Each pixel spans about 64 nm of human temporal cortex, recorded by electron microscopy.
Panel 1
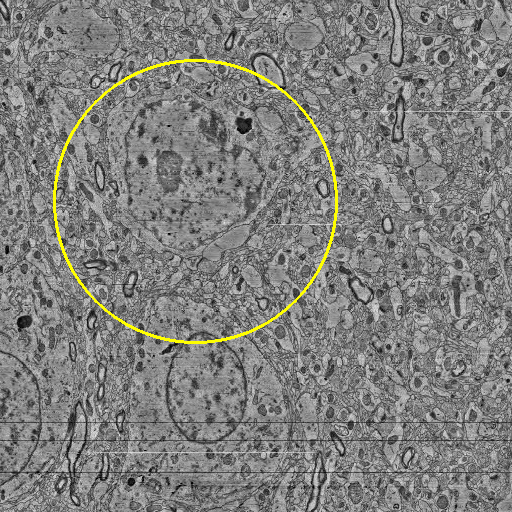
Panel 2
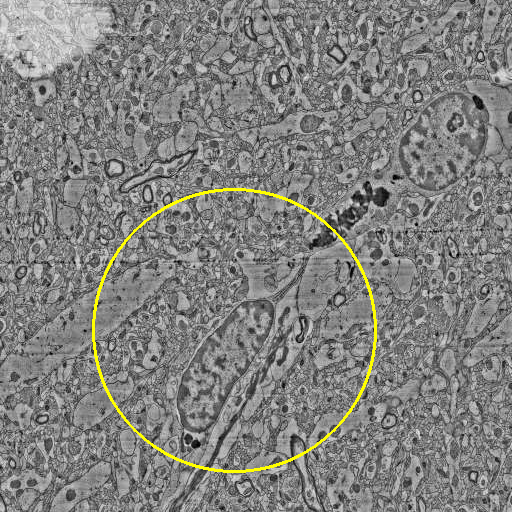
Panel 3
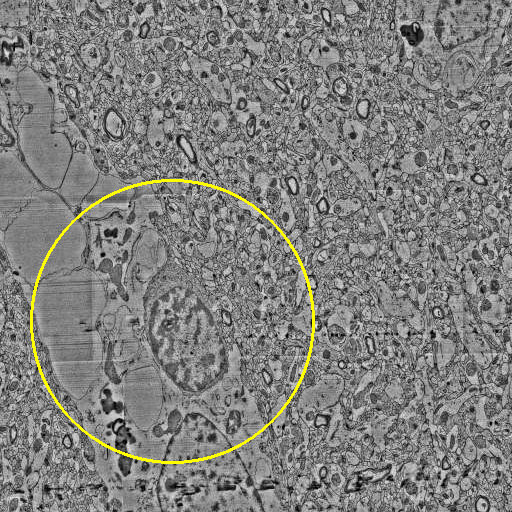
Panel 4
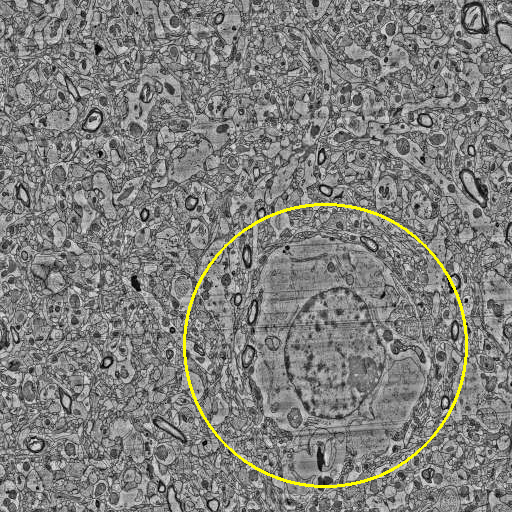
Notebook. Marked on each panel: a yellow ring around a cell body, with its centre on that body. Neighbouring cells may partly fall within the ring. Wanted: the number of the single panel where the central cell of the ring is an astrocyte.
4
